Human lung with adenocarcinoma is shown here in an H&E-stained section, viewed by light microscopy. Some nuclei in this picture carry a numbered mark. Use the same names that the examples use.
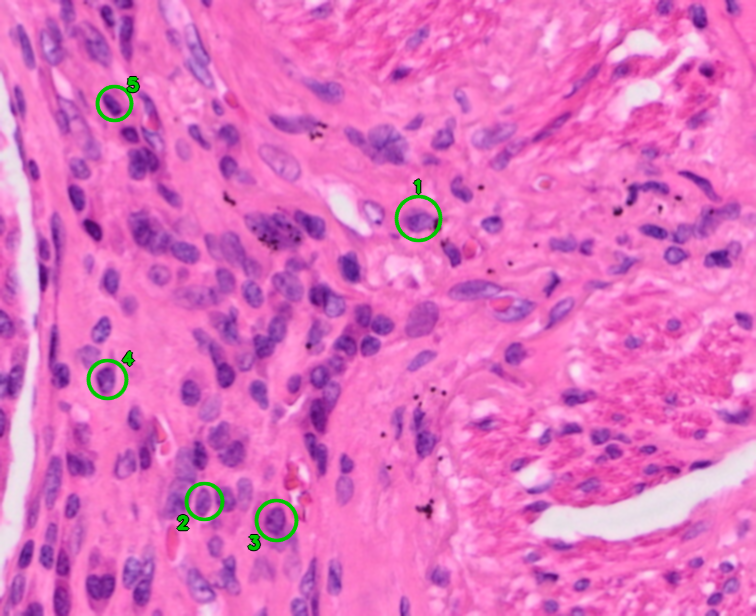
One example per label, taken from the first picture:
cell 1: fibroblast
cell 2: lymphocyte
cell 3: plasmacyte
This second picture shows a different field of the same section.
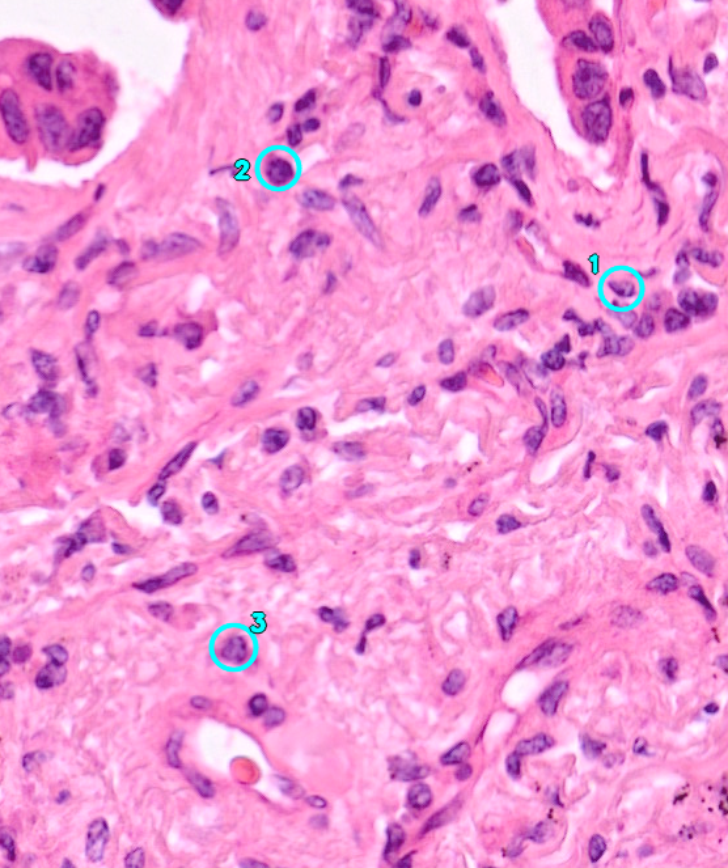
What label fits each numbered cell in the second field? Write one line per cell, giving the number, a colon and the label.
1: lymphocyte
2: plasmacyte
3: plasmacyte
